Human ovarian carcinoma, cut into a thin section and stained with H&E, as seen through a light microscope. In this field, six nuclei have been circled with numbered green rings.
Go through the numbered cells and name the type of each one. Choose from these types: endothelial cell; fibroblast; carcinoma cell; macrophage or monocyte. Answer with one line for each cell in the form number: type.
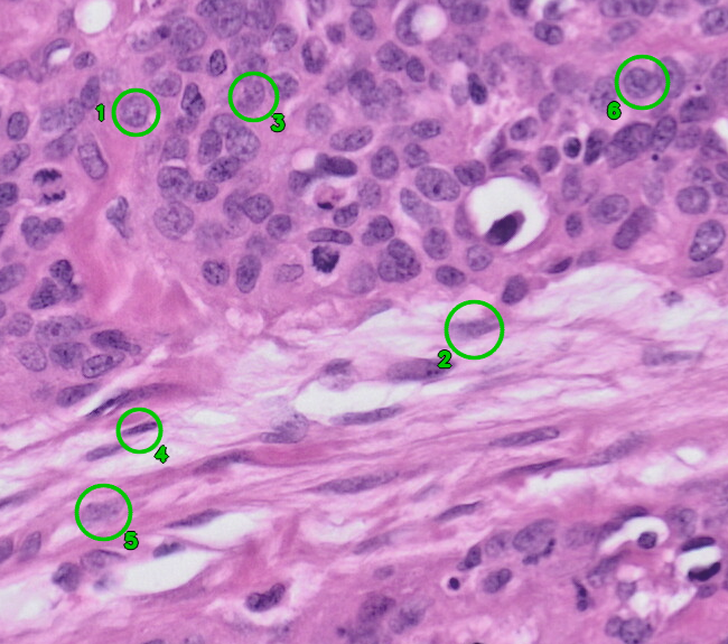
1: carcinoma cell
2: fibroblast
3: carcinoma cell
4: fibroblast
5: fibroblast
6: carcinoma cell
